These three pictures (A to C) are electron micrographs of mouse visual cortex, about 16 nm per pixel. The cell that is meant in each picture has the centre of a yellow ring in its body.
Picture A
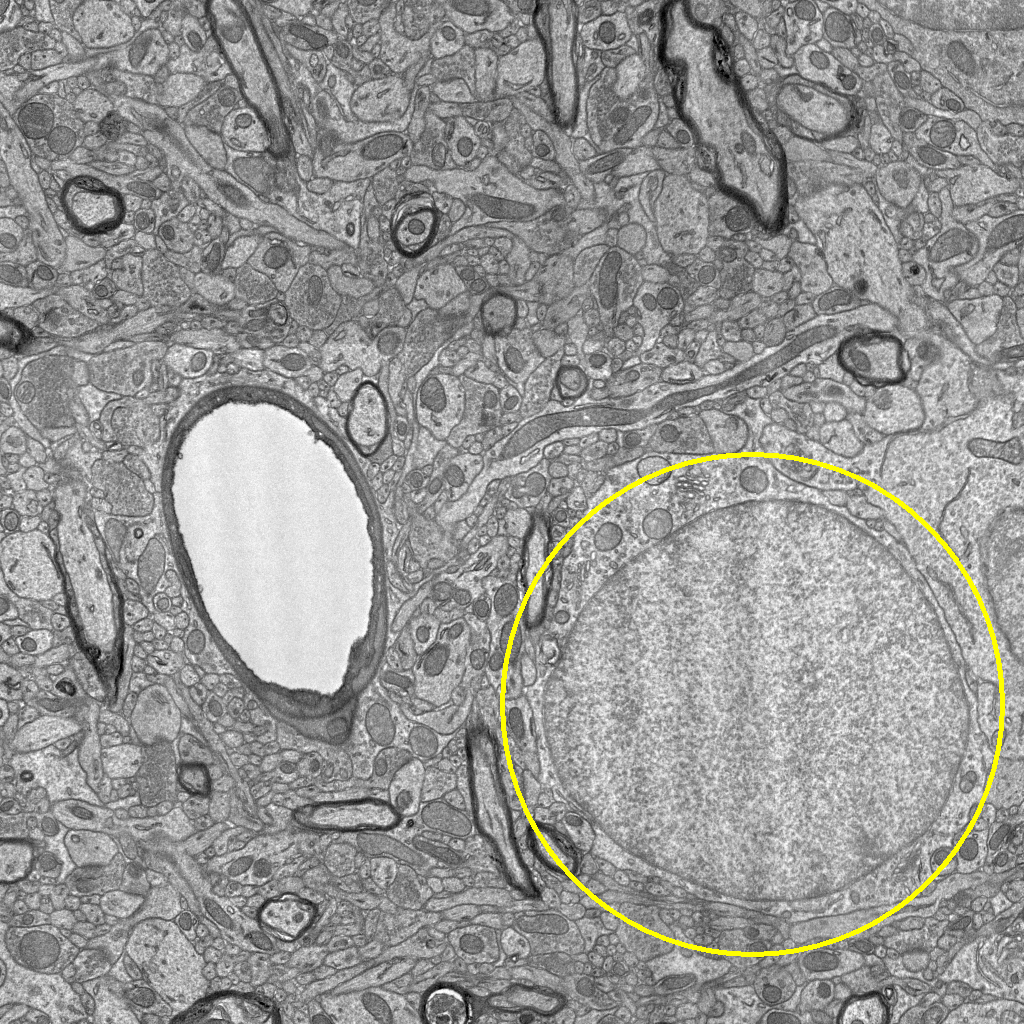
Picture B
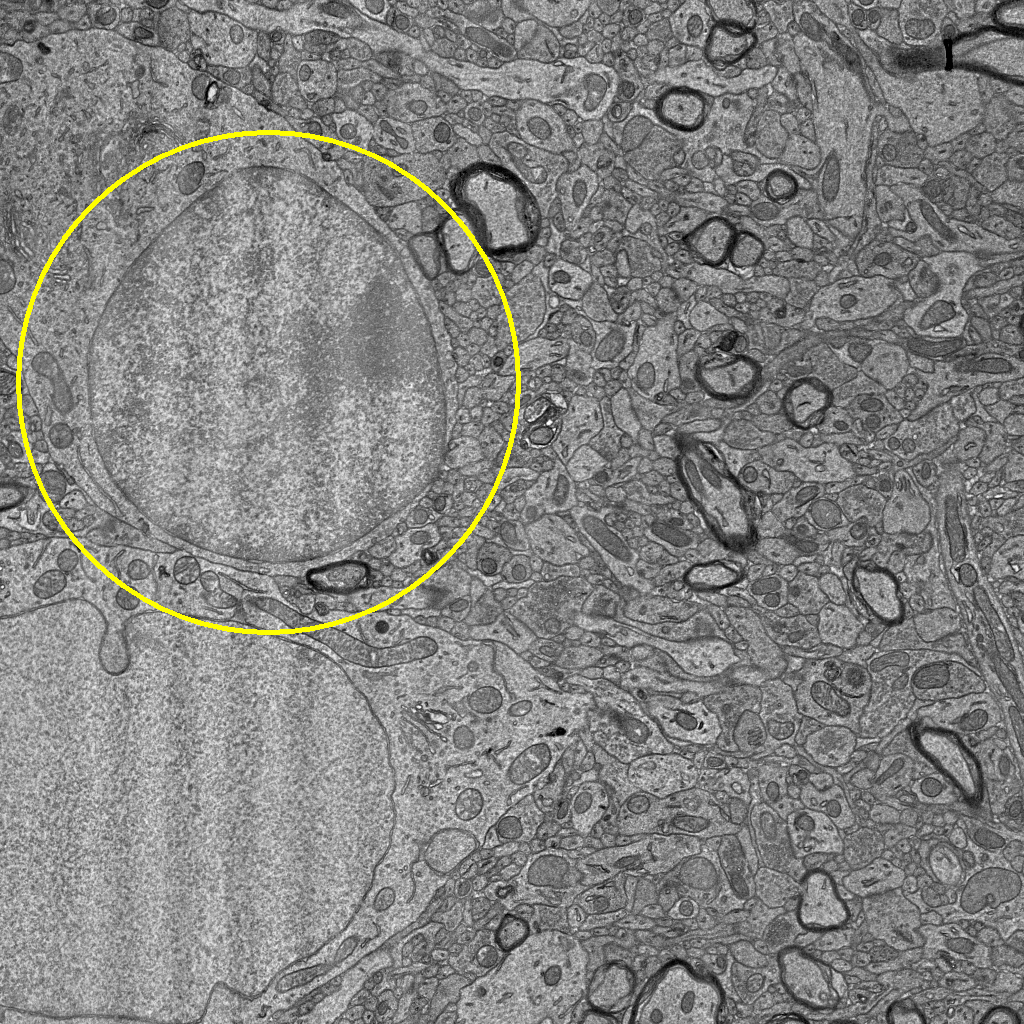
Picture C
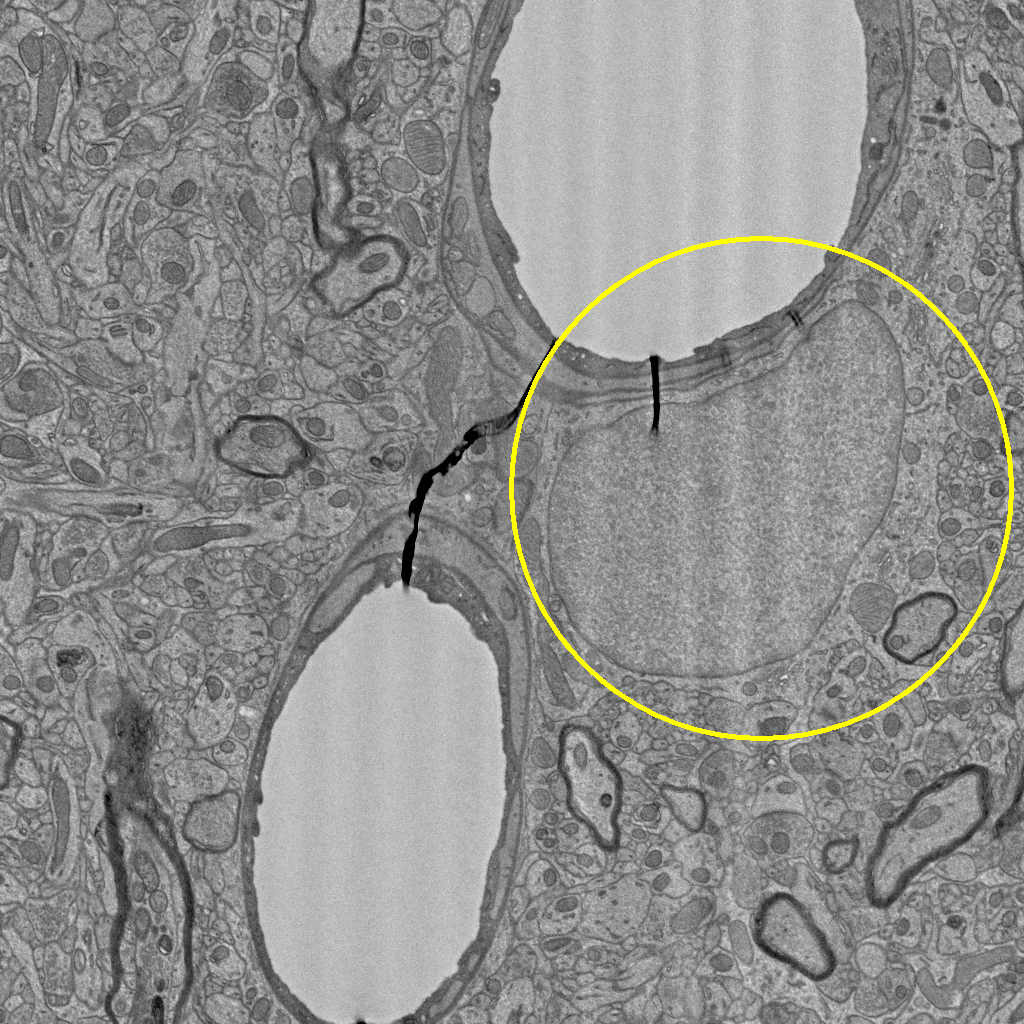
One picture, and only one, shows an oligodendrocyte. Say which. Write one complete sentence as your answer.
The oligodendrocyte is the one in picture B.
